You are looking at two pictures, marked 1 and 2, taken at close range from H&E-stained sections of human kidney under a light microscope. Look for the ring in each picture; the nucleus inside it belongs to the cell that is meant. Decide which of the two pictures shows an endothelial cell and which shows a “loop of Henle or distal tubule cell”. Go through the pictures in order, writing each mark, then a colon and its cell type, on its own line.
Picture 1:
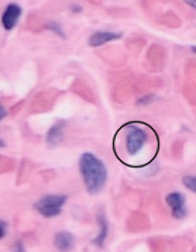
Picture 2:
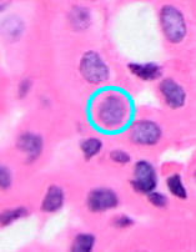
1: endothelial cell
2: loop of Henle or distal tubule cell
